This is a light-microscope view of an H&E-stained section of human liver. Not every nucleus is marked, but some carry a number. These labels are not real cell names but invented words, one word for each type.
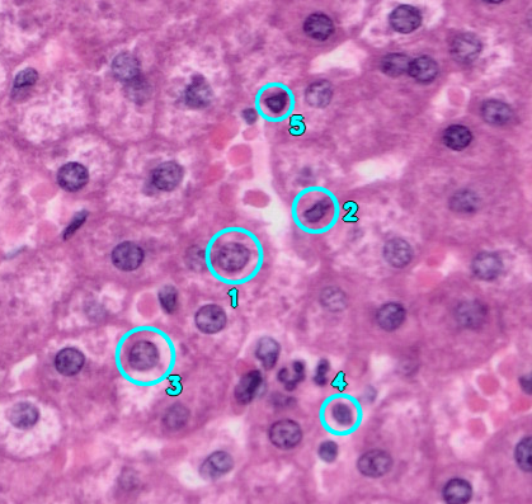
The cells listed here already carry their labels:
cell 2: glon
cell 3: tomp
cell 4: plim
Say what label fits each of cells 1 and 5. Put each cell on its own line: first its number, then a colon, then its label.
1: tomp
5: glon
